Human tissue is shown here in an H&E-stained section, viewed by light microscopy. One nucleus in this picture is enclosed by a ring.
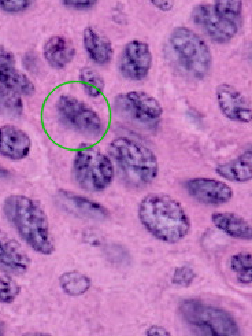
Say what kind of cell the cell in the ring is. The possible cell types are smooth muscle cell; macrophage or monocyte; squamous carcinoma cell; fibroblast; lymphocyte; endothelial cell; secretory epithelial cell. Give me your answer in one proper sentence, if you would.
As classified here, the cell in the ring is a squamous carcinoma cell.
